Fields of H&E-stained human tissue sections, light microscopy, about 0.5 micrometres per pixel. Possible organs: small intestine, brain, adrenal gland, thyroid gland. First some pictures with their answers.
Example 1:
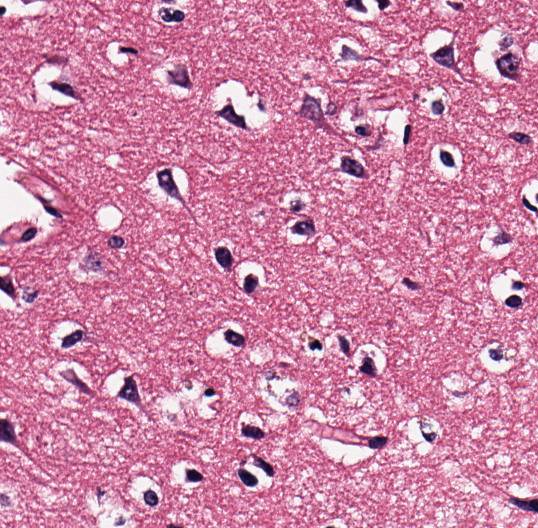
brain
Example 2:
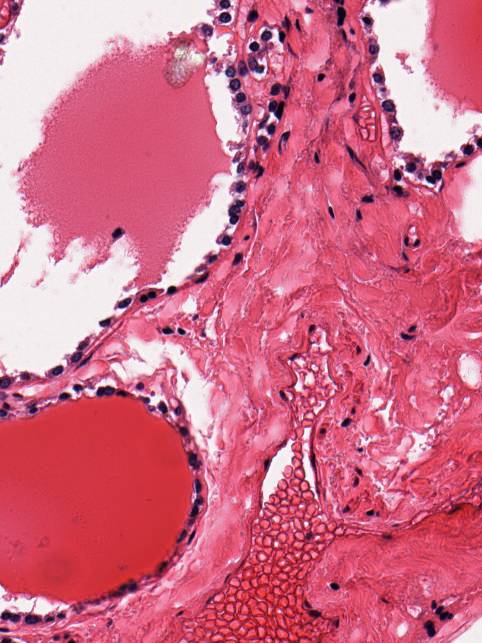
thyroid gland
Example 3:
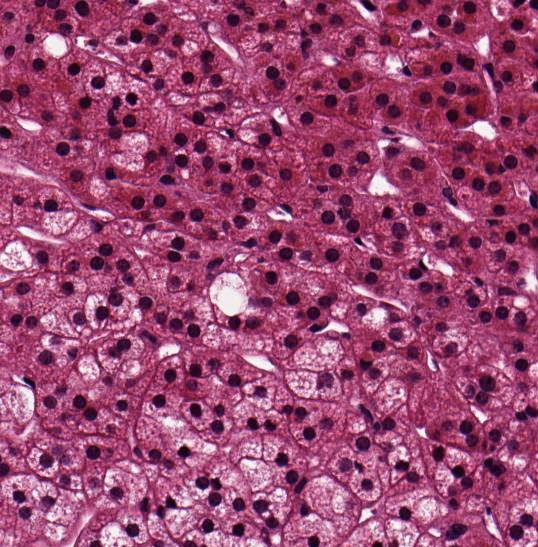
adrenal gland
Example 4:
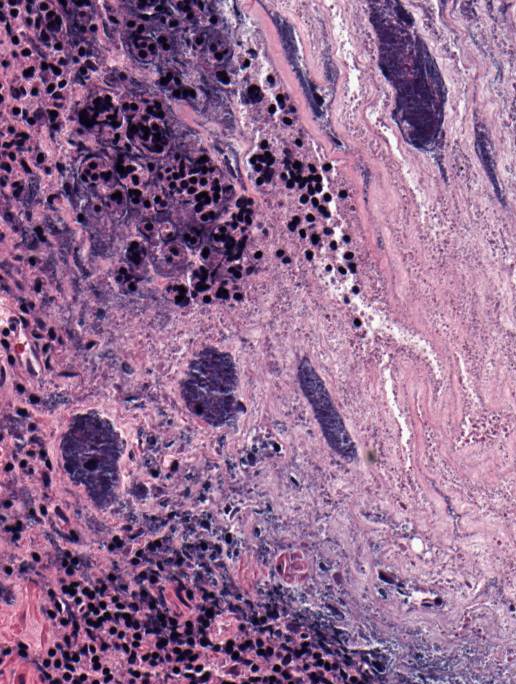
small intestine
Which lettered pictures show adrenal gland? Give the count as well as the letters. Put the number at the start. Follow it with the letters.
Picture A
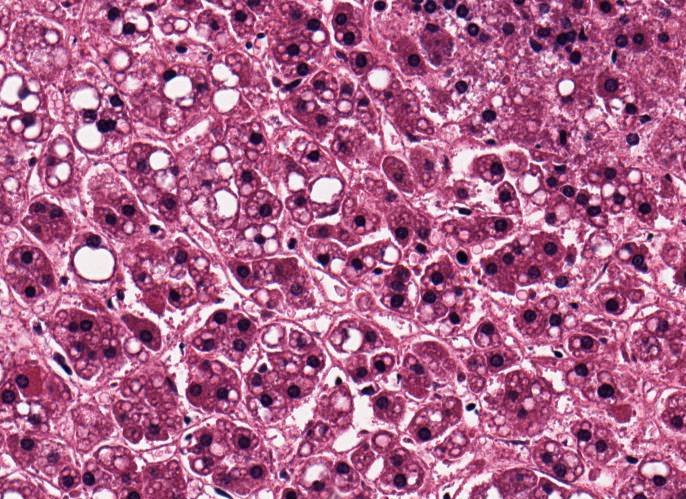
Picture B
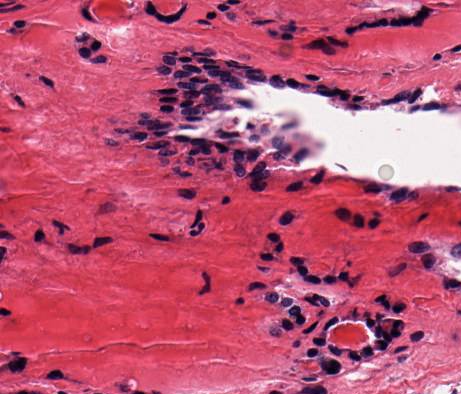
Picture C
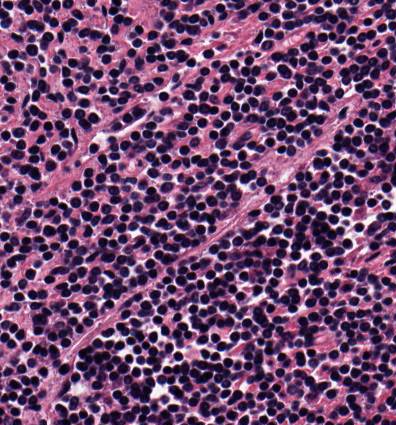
1: A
